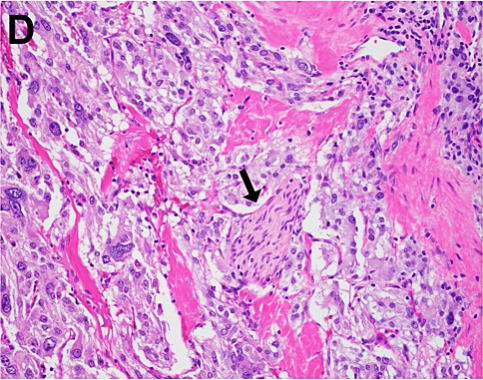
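Many nuclei are enlarged, irregular and dark, and vary considerably in size. A small bundle of wavy spindle-shaped cells, a nerve, is surrounded by tumor cells.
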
